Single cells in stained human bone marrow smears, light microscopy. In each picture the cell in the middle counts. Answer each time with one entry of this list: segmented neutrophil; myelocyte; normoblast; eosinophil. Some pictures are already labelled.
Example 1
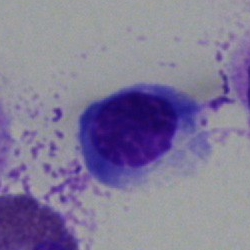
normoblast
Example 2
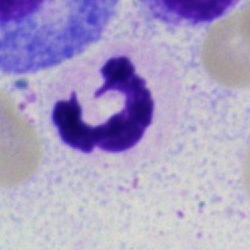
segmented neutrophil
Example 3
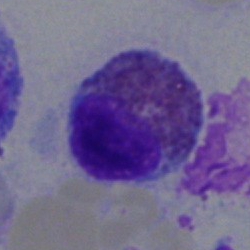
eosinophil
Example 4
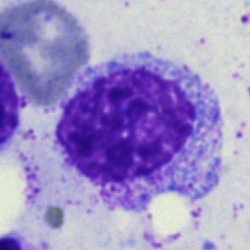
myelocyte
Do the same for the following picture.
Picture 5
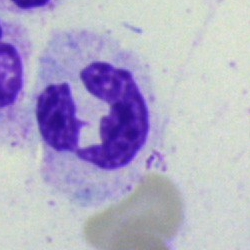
segmented neutrophil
